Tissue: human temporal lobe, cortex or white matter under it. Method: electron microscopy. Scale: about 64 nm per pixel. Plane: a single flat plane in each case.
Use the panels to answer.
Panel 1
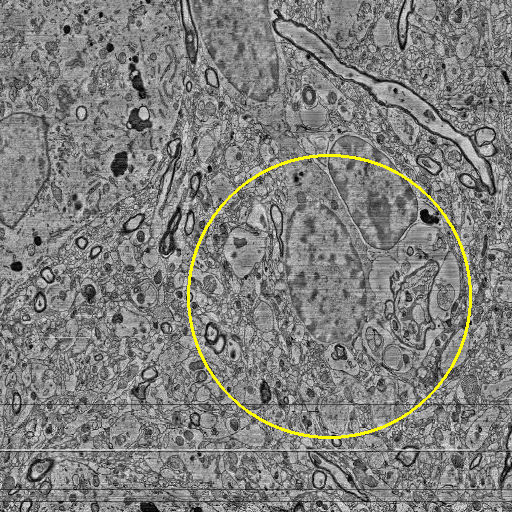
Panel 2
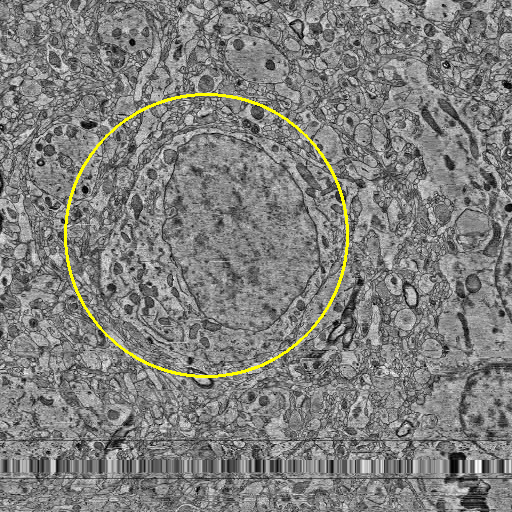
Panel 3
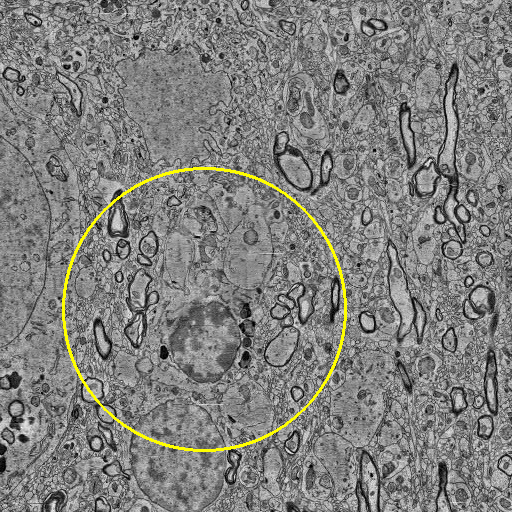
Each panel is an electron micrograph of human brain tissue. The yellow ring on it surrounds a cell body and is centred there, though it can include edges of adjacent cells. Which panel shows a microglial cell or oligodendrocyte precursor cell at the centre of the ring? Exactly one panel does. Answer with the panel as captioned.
Panel 3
